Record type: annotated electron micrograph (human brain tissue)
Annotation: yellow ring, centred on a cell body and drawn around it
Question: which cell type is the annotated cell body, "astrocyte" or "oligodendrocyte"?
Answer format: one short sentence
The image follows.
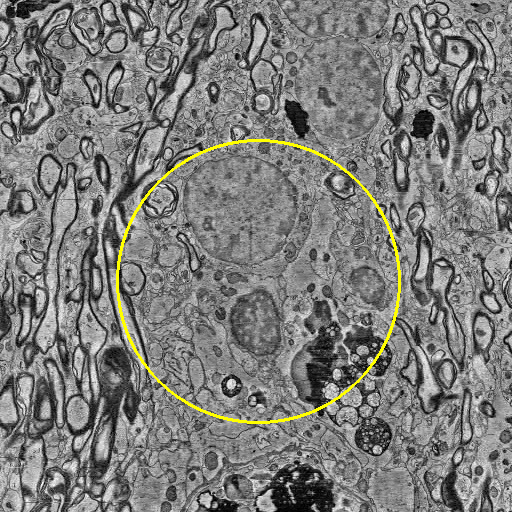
The annotated cell body is that of an oligodendrocyte.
